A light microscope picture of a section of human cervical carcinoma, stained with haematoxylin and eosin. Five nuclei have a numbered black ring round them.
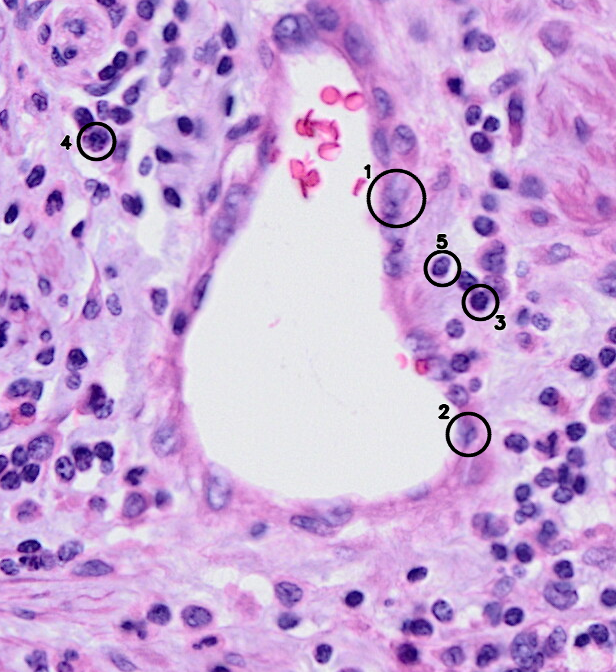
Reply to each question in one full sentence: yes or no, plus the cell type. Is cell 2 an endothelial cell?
Yes, kindly take note: the cell numbered 2 is an endothelial cell.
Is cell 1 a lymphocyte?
No, cell 1 represents an endothelial cell rather than a lymphocyte.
